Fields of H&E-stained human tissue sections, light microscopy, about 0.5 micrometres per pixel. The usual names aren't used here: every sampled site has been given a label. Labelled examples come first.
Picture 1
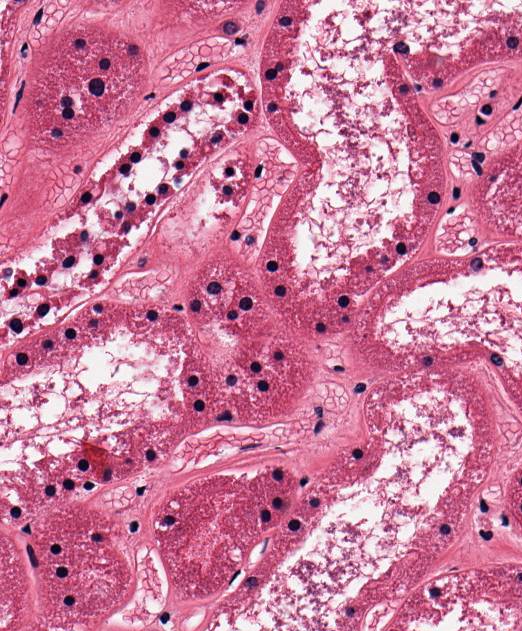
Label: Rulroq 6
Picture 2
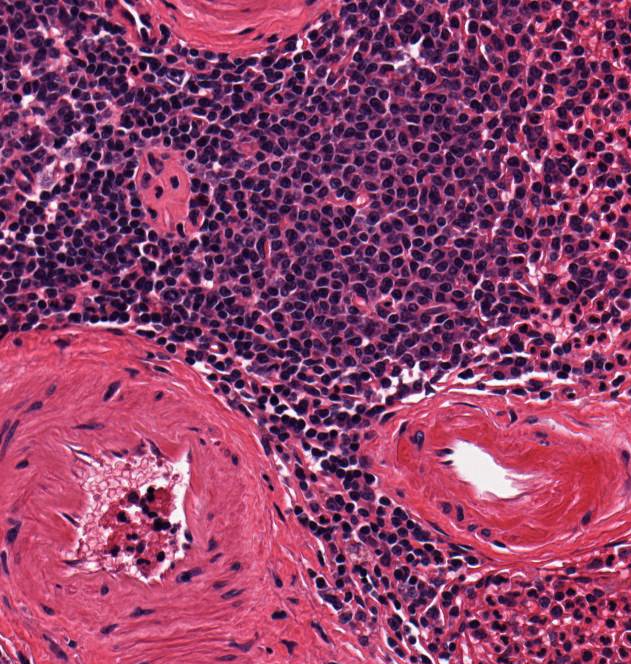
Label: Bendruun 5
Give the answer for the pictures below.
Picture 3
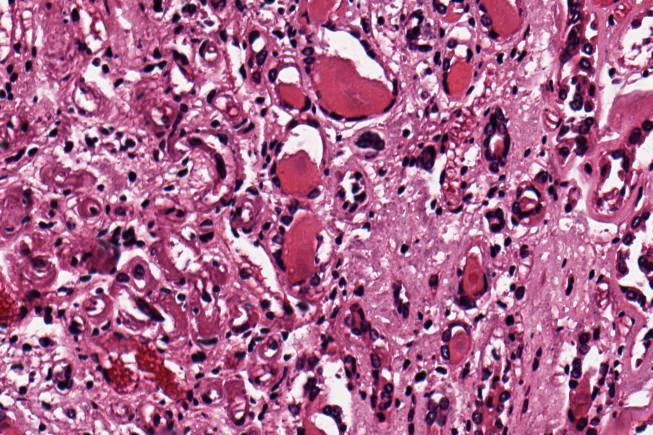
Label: Rulroq 6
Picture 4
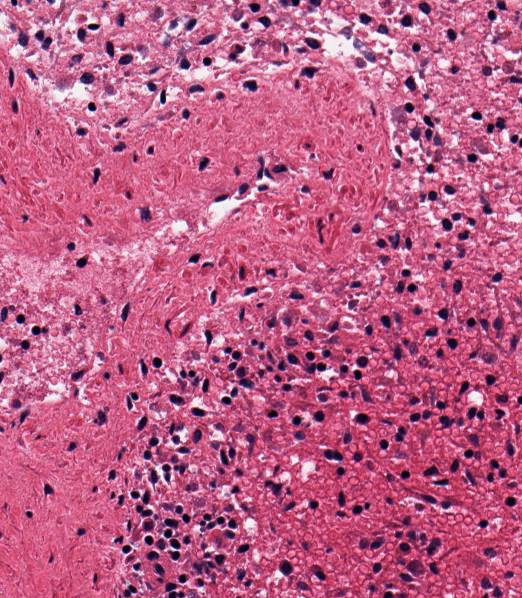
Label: Bendruun 5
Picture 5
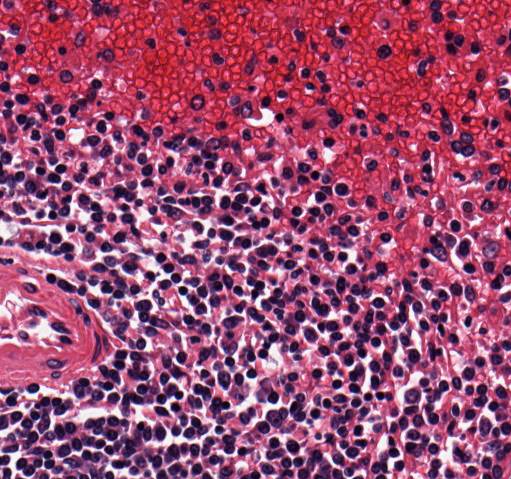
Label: Bendruun 5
